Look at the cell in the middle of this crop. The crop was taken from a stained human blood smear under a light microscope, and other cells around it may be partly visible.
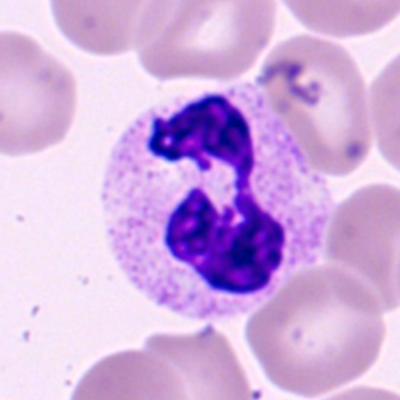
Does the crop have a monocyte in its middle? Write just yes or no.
no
